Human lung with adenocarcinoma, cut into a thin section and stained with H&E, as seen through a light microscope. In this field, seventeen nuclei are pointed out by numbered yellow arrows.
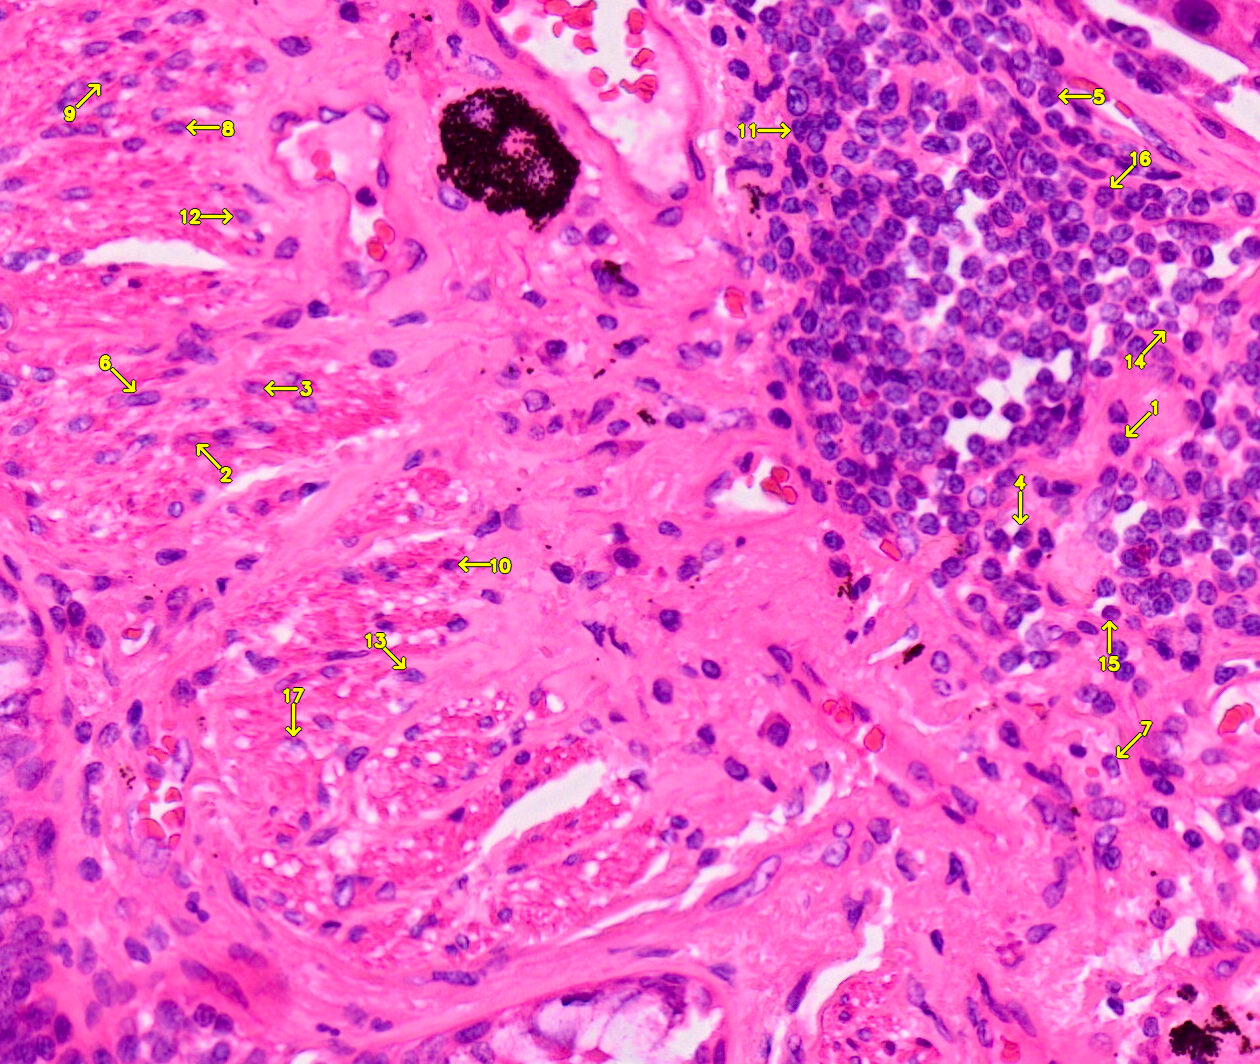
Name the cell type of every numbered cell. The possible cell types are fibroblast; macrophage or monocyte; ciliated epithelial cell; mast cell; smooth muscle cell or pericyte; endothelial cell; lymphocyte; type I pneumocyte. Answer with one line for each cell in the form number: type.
1: lymphocyte
2: smooth muscle cell or pericyte
3: smooth muscle cell or pericyte
4: lymphocyte
5: lymphocyte
6: smooth muscle cell or pericyte
7: lymphocyte
8: smooth muscle cell or pericyte
9: smooth muscle cell or pericyte
10: smooth muscle cell or pericyte
11: lymphocyte
12: smooth muscle cell or pericyte
13: smooth muscle cell or pericyte
14: lymphocyte
15: lymphocyte
16: lymphocyte
17: smooth muscle cell or pericyte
